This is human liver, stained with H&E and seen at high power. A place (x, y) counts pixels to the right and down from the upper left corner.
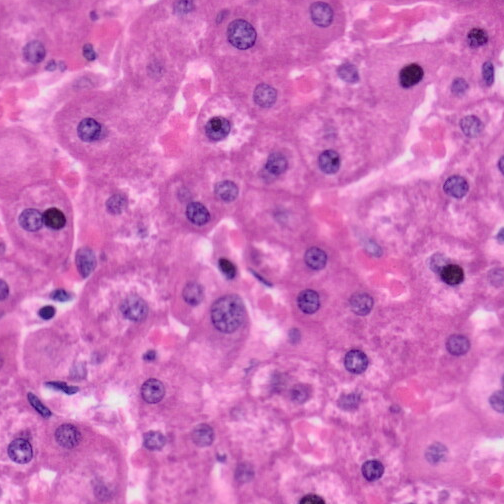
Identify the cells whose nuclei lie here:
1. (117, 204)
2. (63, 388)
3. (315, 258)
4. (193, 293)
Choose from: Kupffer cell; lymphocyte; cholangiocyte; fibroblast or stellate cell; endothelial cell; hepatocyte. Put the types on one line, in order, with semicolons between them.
hepatocyte; endothelial cell; hepatocyte; hepatocyte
